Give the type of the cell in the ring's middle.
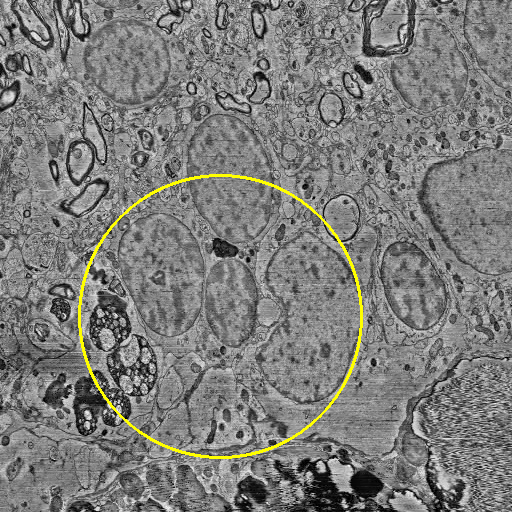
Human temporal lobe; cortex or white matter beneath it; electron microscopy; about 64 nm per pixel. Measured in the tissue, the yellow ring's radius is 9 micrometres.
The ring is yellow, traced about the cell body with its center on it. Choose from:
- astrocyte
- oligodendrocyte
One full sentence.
Here, an oligodendrocyte is the cell lying at the center of the yellow ring.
